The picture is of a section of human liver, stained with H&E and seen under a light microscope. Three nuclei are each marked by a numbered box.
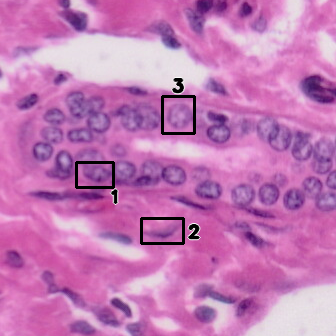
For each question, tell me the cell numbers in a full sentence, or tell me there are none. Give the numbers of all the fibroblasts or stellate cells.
The cell marked by number 2 is a fibroblast or stellate cell; the other marked cells are not.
